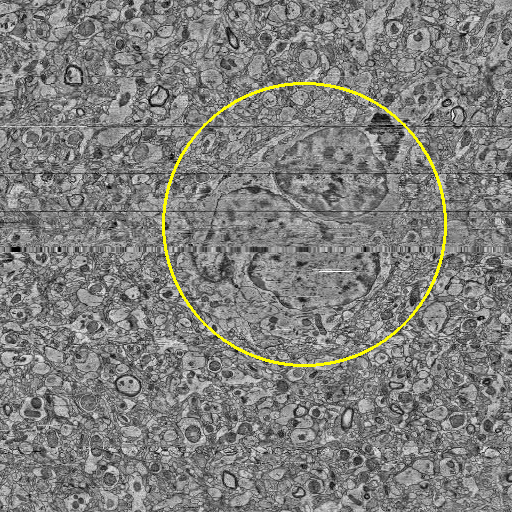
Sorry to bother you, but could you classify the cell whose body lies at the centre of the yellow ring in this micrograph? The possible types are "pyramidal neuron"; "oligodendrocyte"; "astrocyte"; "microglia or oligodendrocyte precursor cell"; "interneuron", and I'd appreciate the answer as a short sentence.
The ringed cell body is that of a microglial cell or oligodendrocyte precursor cell.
